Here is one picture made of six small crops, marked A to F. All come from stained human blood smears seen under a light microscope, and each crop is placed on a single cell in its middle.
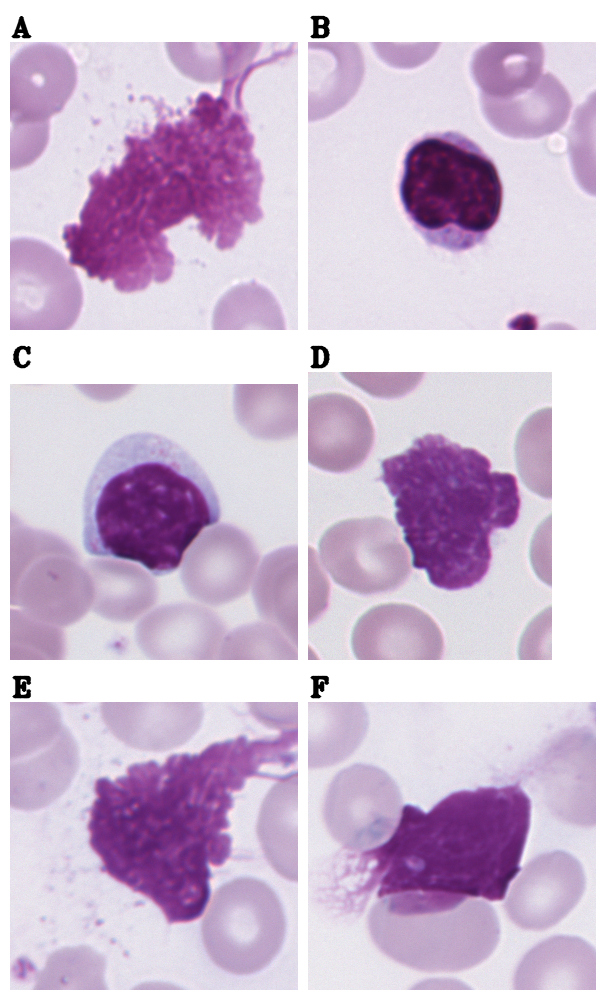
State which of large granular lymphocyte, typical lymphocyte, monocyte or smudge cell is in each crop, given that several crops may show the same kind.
A: smudge cell
B: typical lymphocyte
C: large granular lymphocyte
D: smudge cell
E: smudge cell
F: smudge cell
